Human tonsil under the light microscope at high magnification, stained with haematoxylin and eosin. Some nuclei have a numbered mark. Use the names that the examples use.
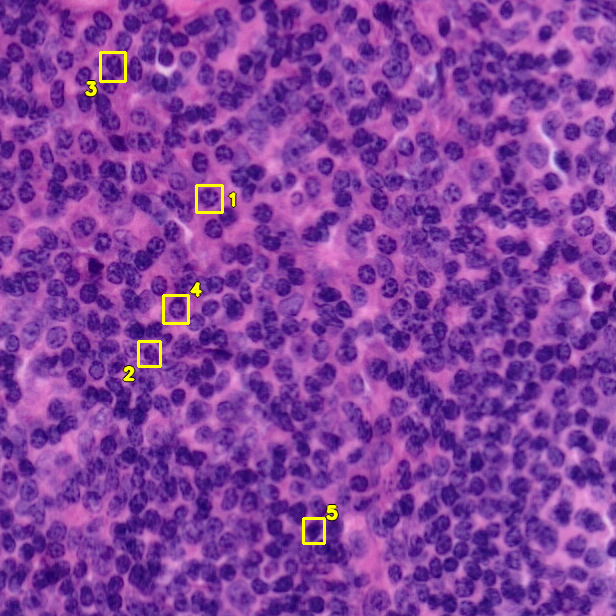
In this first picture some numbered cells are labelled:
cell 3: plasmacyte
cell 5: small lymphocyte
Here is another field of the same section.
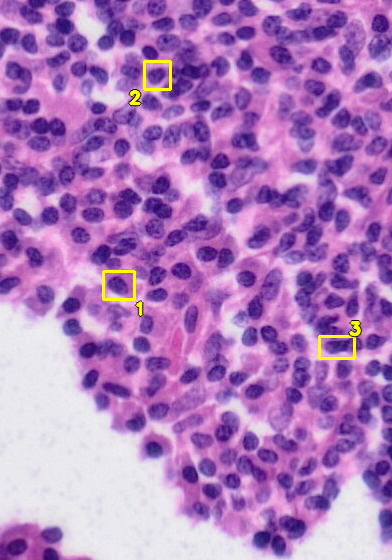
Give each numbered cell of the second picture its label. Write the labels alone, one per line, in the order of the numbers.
plasmacyte
small lymphocyte
small lymphocyte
